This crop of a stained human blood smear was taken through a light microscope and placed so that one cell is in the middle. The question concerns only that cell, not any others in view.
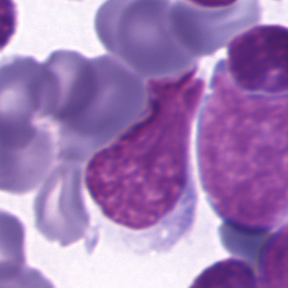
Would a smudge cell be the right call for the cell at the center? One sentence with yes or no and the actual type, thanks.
No, in the middle of the crop there is a myeloblast rather than a smudge cell.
